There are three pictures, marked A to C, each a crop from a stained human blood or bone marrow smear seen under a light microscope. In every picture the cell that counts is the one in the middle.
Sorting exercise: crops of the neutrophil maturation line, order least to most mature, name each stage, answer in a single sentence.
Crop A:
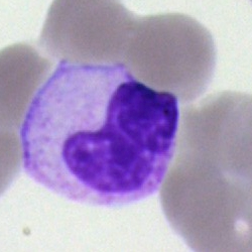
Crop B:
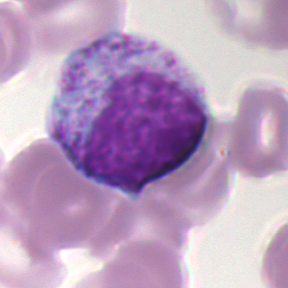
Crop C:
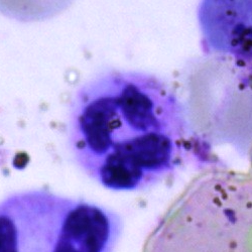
Arranging the cells from least to most mature gives crop B (a myelocyte), crop A (a metamyelocyte) and crop C (a segmented neutrophil).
